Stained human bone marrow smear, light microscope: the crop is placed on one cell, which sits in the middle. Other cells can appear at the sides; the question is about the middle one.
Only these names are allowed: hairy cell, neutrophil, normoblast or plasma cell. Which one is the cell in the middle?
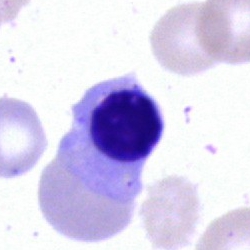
normoblast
